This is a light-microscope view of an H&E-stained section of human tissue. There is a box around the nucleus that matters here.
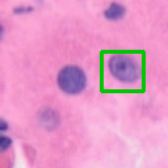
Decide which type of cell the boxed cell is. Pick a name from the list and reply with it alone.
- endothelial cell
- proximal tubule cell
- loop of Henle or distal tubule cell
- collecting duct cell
proximal tubule cell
